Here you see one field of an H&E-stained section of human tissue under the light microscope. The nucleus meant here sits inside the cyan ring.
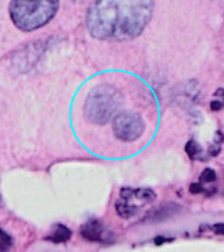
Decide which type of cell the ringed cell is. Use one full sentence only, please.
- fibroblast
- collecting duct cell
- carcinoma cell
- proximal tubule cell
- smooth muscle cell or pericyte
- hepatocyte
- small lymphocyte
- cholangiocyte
As far as its identity is concerned, the ringed cell is a carcinoma cell.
